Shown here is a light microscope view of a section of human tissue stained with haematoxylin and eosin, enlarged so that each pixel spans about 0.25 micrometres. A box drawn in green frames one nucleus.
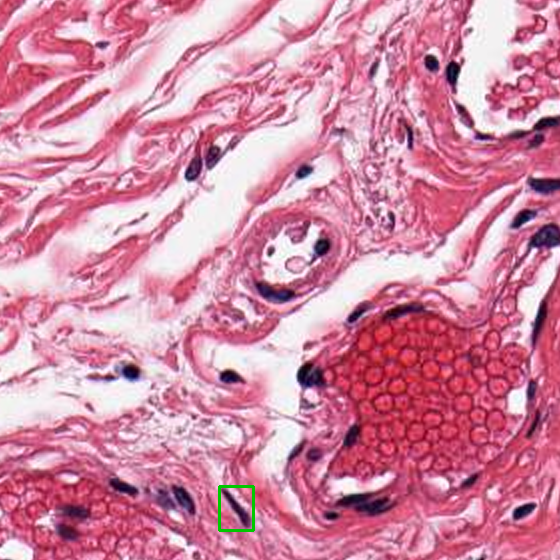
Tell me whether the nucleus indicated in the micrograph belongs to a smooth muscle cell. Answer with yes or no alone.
no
